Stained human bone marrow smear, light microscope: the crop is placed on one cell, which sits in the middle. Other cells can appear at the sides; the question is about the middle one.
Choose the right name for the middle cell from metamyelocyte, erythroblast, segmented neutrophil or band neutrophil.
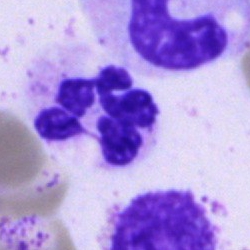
segmented neutrophil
